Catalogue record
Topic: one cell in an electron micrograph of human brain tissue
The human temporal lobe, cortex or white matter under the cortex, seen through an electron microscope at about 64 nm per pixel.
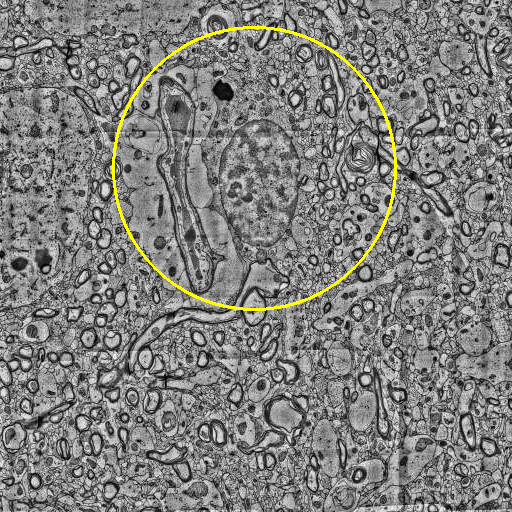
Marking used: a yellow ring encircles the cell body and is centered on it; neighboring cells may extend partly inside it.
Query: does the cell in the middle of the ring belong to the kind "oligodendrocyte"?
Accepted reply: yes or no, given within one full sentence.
Yes, the cell centered in the ring in the picture is of that kind.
